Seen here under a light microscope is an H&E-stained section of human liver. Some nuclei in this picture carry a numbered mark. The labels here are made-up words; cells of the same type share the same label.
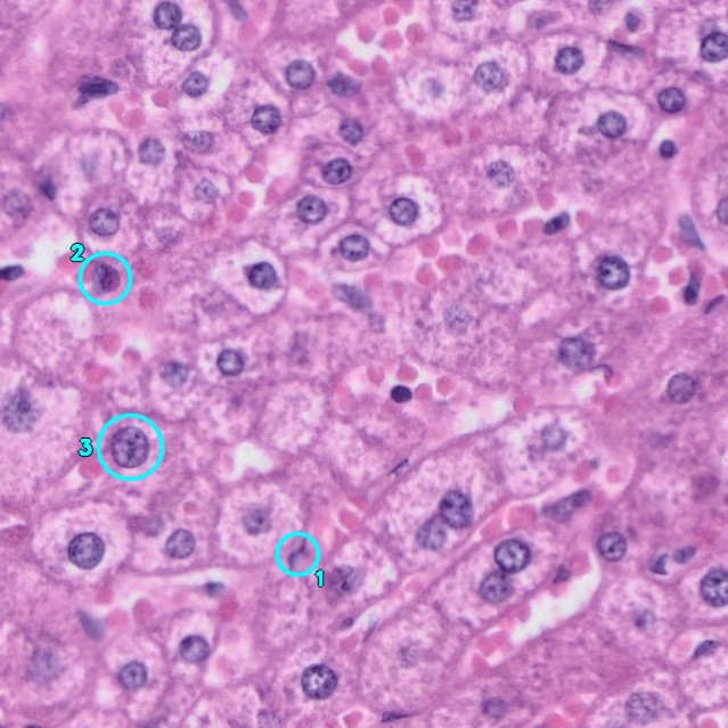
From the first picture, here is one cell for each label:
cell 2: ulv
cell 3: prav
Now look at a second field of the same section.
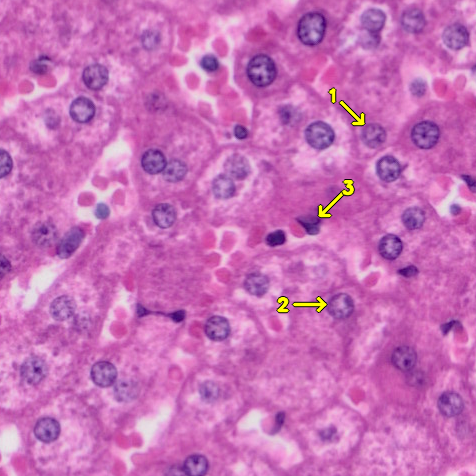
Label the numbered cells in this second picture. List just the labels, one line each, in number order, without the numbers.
prav
prav
ulv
